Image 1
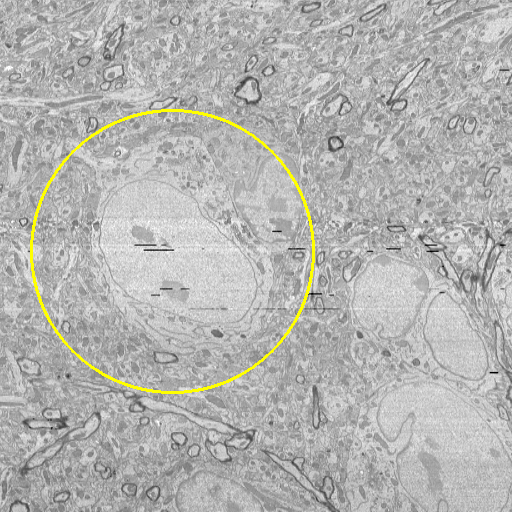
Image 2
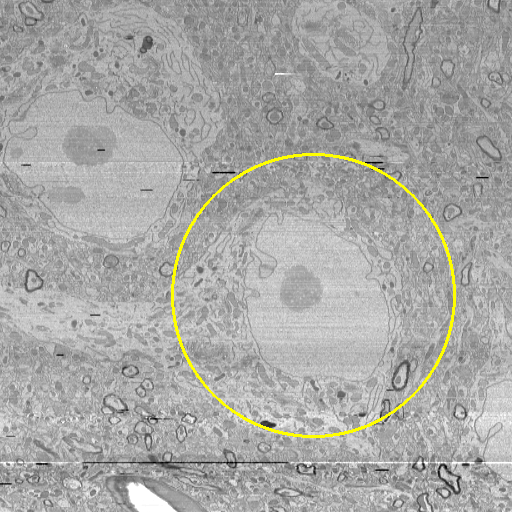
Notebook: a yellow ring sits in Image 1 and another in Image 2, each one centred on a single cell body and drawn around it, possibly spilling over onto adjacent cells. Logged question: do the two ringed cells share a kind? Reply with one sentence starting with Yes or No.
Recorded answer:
Yes, both centre cells inside the rings of Image 1 and Image 2 share one kind.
